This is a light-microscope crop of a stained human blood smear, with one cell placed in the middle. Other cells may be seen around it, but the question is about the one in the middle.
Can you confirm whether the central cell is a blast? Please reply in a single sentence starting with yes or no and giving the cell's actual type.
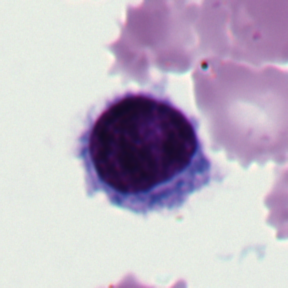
No, the middle cell is actually a hairy cell rather than a blast.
